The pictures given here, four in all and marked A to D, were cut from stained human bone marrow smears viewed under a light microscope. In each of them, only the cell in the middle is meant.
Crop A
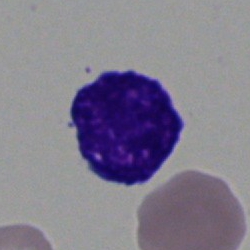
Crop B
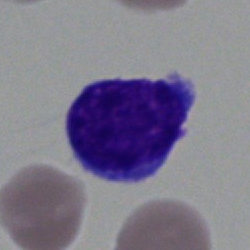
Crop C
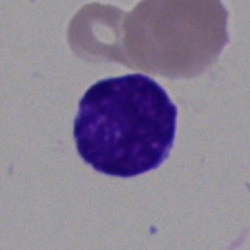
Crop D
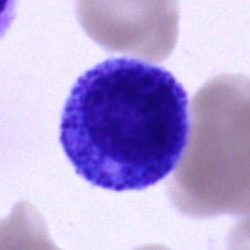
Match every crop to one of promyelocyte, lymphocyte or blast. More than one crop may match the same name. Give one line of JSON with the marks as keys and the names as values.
{"A": "blast", "B": "lymphocyte", "C": "blast", "D": "promyelocyte"}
